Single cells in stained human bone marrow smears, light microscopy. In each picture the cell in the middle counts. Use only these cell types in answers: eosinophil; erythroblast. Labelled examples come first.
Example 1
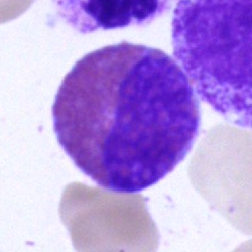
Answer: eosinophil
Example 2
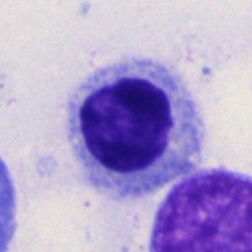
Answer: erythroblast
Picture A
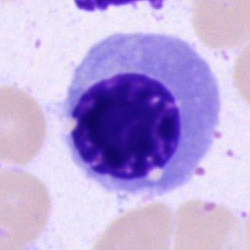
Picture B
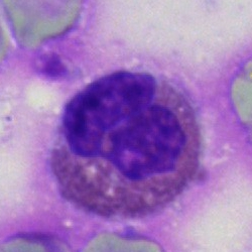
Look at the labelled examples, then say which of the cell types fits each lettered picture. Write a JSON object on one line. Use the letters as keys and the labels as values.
{"A": "erythroblast", "B": "eosinophil"}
